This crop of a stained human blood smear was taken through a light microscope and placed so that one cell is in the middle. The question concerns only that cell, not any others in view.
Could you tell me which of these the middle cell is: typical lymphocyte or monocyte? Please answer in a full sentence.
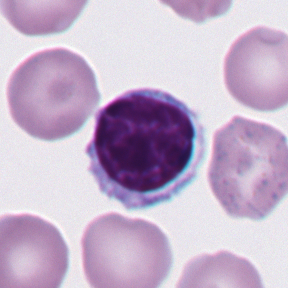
The cell centred in this crop is categorized as a typical lymphocyte.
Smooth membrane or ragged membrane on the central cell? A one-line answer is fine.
Along its border, the cell is uneven, whether by ragged stretches or by projections.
